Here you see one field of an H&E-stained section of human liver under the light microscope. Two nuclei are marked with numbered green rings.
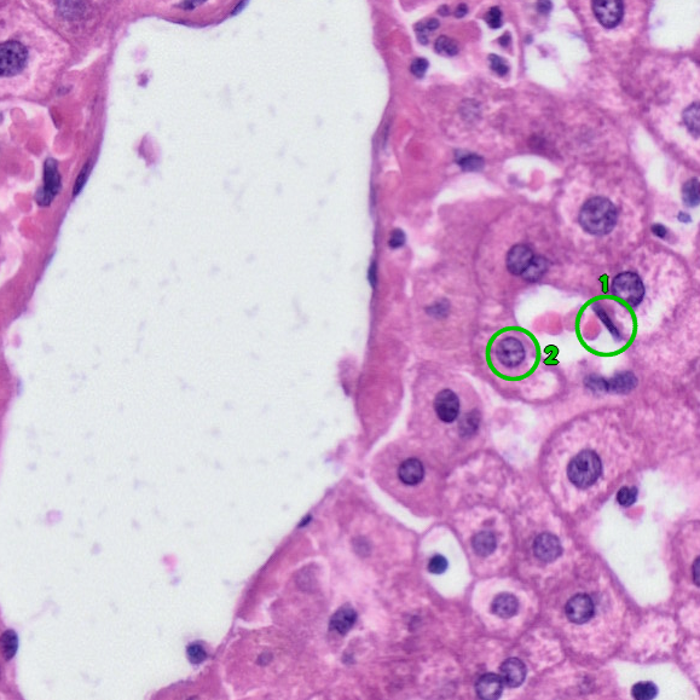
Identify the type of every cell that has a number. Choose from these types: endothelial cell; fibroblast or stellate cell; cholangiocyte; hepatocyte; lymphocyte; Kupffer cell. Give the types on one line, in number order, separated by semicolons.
endothelial cell; hepatocyte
